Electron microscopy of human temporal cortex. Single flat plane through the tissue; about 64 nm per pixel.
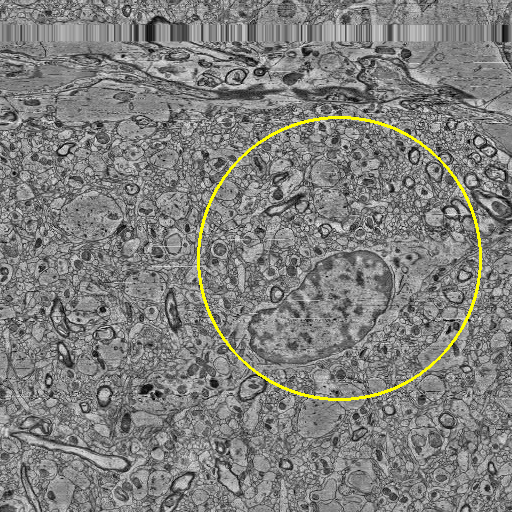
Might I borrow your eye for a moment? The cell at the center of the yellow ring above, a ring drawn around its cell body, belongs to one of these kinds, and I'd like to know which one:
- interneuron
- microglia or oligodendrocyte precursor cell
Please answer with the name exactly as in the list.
microglia or oligodendrocyte precursor cell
